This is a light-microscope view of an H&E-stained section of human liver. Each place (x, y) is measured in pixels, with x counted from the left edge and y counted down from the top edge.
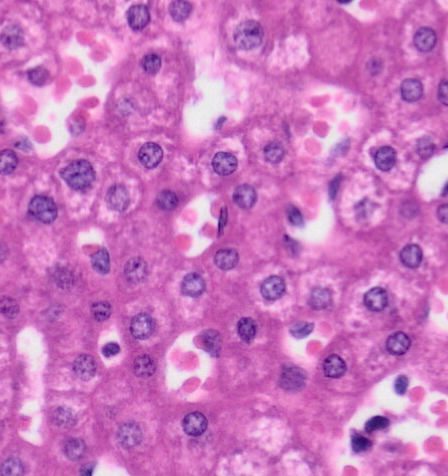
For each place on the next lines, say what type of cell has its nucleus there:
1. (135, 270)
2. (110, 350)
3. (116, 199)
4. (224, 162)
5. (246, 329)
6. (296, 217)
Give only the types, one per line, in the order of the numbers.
hepatocyte
lymphocyte
hepatocyte
hepatocyte
hepatocyte
Kupffer cell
